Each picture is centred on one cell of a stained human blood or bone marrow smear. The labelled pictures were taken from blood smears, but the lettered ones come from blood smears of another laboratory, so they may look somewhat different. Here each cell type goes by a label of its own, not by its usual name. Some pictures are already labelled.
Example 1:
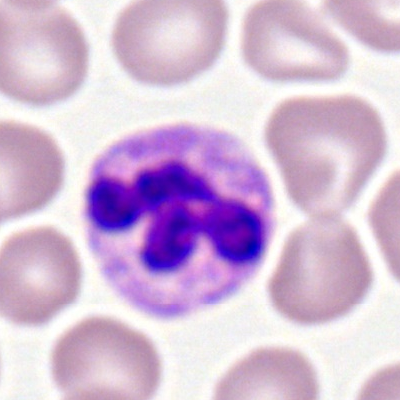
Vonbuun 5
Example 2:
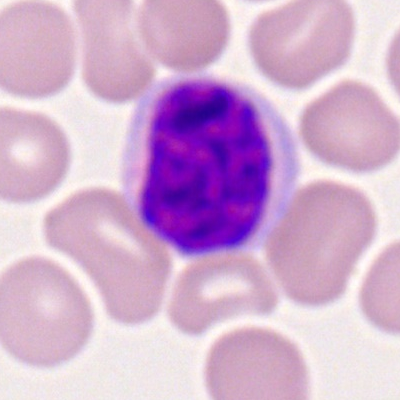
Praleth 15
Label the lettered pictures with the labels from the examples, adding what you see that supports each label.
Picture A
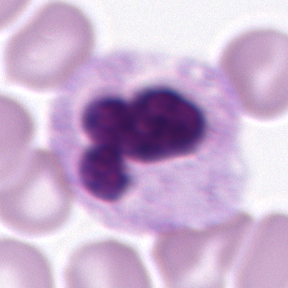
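Vonbuun 5. Evidence: The cytoplasm is plentiful and pale lilac.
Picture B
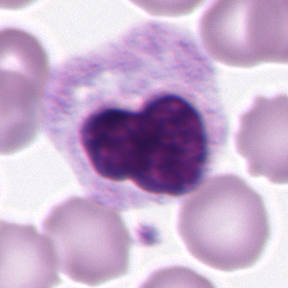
Vonbuun 5. Evidence: The cytoplasm is abundant and pale pinkish-lilac.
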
